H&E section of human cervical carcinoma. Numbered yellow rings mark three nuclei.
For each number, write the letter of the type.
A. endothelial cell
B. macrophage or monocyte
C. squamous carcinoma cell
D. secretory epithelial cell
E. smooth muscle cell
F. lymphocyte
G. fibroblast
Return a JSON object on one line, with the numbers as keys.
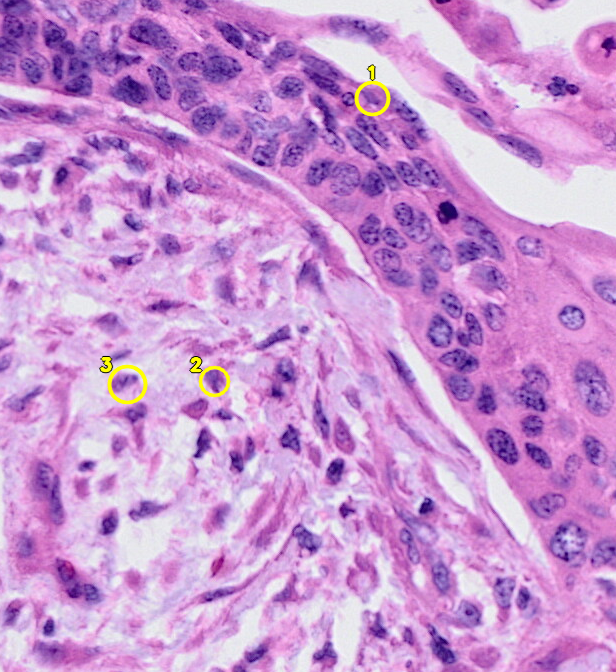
{"1": "C", "2": "G", "3": "G"}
